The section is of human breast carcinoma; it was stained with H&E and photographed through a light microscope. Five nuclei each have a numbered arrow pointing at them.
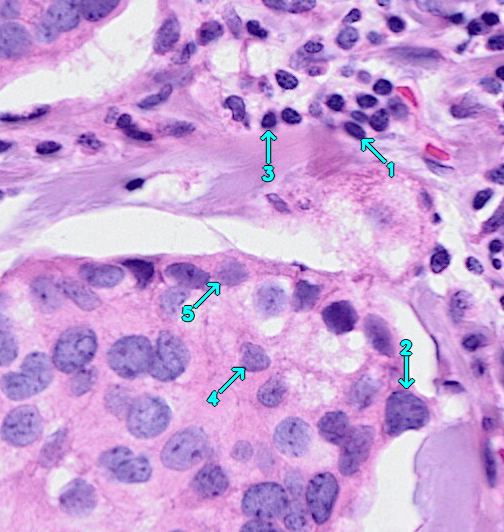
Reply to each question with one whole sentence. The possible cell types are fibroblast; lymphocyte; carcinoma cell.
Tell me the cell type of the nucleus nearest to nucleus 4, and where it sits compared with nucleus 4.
The nearest one is a carcinoma cell, found below and to the right of nucleus 4.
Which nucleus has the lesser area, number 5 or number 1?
Number 1 is smaller, since number 5 takes up about 2.5 times as much area.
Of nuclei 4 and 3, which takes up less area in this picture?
The smaller nucleus is 3, and 4 covers roughly 2 times its area.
